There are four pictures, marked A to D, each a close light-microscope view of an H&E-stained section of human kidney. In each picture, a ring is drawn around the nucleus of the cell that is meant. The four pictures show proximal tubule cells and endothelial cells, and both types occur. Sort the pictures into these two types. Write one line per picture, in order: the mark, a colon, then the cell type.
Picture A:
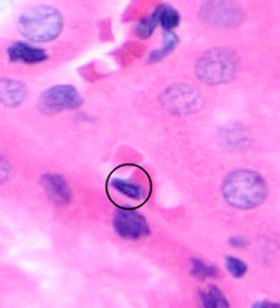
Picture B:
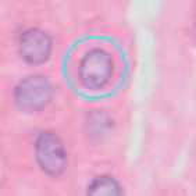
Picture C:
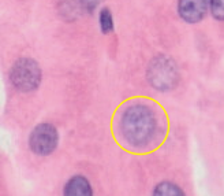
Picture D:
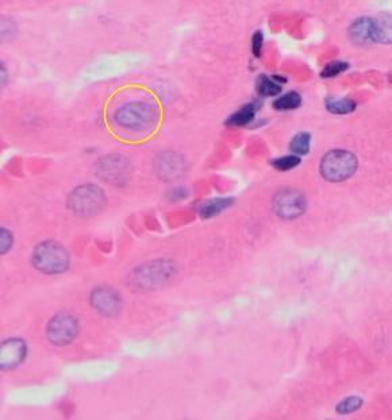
A: endothelial cell
B: proximal tubule cell
C: proximal tubule cell
D: proximal tubule cell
